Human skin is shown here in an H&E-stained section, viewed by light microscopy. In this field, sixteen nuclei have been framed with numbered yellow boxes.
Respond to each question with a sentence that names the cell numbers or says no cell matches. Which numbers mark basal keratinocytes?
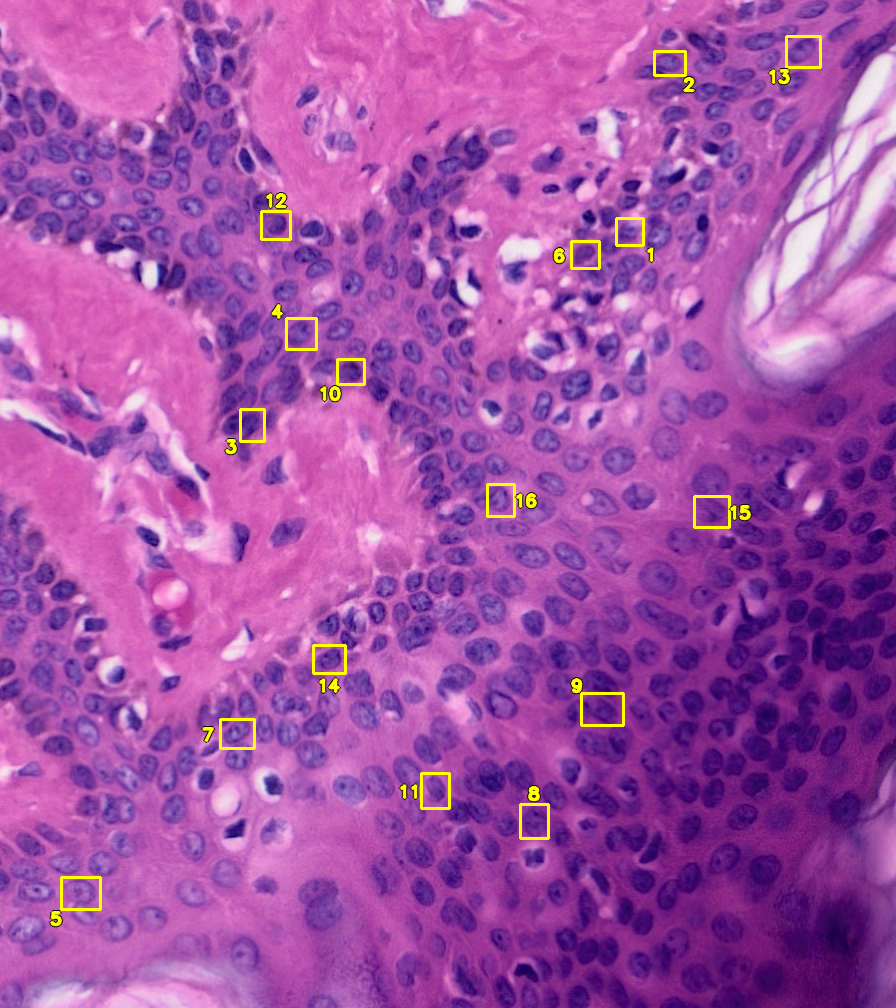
The cells marked by the numbers 1, 2, 3, 6, 7, 10, 12 and 14 are basal keratinocytes.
